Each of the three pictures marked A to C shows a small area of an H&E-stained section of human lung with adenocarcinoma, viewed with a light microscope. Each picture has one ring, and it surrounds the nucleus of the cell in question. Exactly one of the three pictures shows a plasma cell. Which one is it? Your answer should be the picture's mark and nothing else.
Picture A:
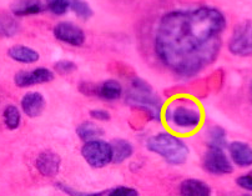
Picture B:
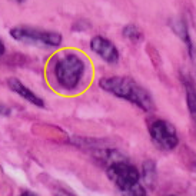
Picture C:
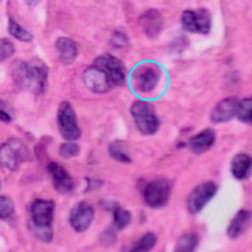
B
